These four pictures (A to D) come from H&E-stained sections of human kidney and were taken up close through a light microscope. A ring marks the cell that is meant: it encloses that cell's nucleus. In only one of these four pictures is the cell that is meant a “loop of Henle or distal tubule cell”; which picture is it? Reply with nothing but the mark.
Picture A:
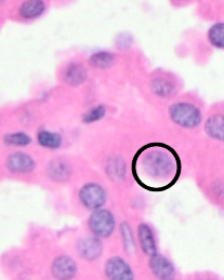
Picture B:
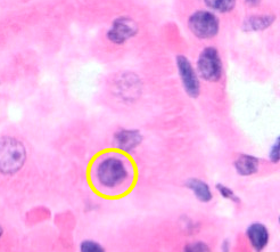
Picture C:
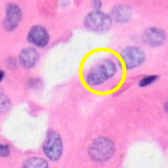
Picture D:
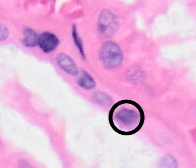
A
